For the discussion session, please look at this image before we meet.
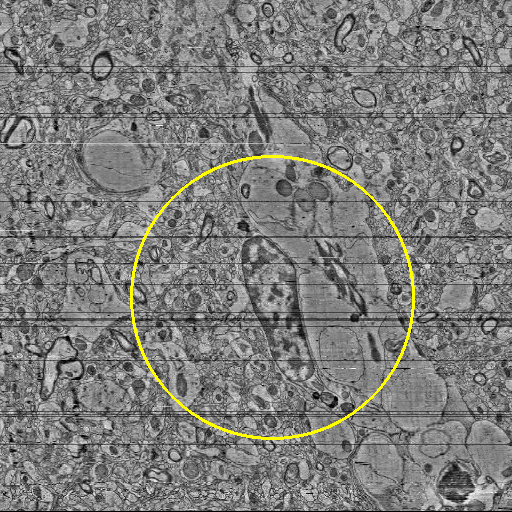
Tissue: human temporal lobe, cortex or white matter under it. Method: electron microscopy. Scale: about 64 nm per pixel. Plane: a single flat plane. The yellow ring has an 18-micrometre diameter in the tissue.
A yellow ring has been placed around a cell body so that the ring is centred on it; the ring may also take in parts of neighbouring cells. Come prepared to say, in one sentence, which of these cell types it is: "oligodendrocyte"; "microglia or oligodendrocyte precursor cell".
The cell centred in the ring is a microglial cell or oligodendrocyte precursor cell.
